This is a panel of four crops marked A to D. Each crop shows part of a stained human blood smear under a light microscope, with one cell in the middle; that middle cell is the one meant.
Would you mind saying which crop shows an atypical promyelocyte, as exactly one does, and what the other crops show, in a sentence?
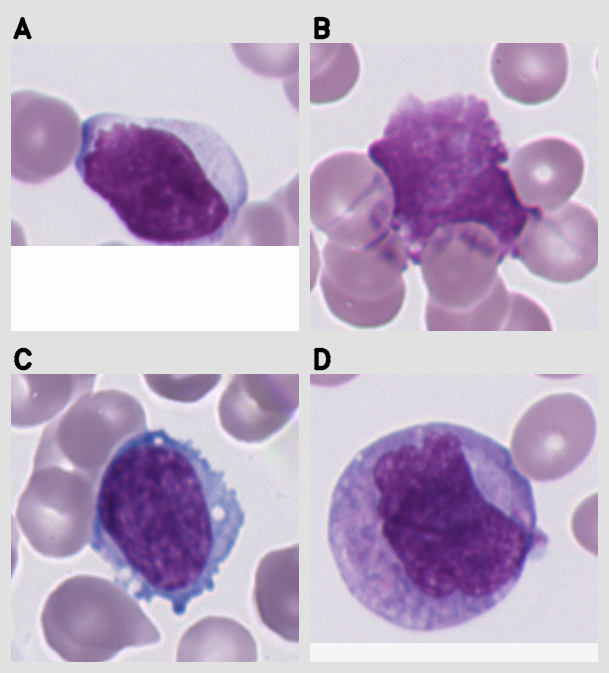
The middle of crop D holds an atypical promyelocyte, while crop A is a large granular lymphocyte, crop B is a smudge cell and crop C is a myeloblast.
